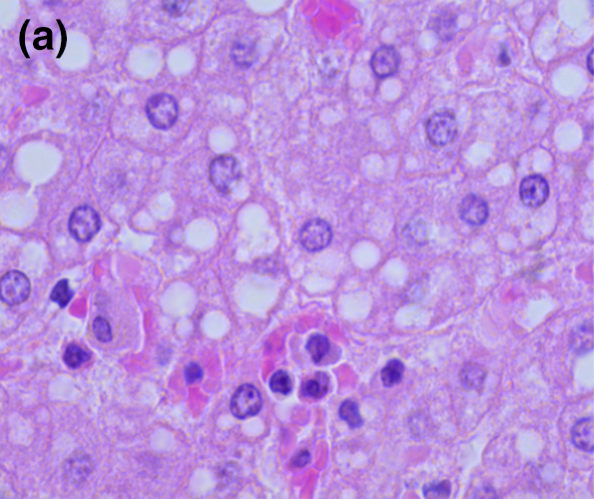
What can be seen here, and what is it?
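This is liver tissue with hepatocytes showing microvesicular steatosis. The vacuoles do not displace the nuclei to the cell edge. A sinusoid in the lower part holds pink red blood cells and a few small cells with dark round nuclei.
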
